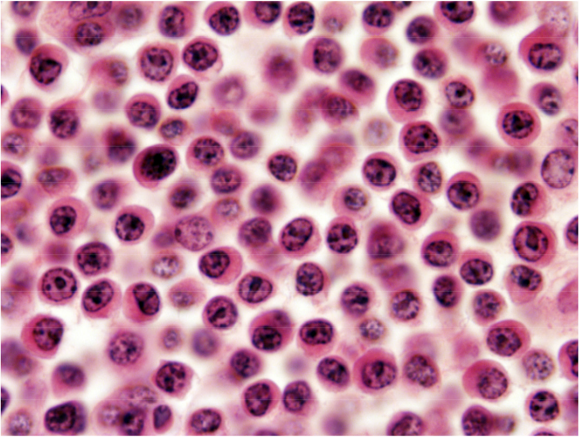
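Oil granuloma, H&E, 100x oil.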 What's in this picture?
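This is a dense sheet of tumour cells with a plasmablastic to plasmacytic look. The cells are round to oval and fairly uniform. Each has a round nucleus, often set off to one side, surrounded by a generous rim of pink cytoplasm. The nuclear chromatin is coarse and clumped into dark blocks arranged around the nuclear edge, giving the cartwheel or clock-face pattern typical of plasma cells. Some nuclei look larger and paler.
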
